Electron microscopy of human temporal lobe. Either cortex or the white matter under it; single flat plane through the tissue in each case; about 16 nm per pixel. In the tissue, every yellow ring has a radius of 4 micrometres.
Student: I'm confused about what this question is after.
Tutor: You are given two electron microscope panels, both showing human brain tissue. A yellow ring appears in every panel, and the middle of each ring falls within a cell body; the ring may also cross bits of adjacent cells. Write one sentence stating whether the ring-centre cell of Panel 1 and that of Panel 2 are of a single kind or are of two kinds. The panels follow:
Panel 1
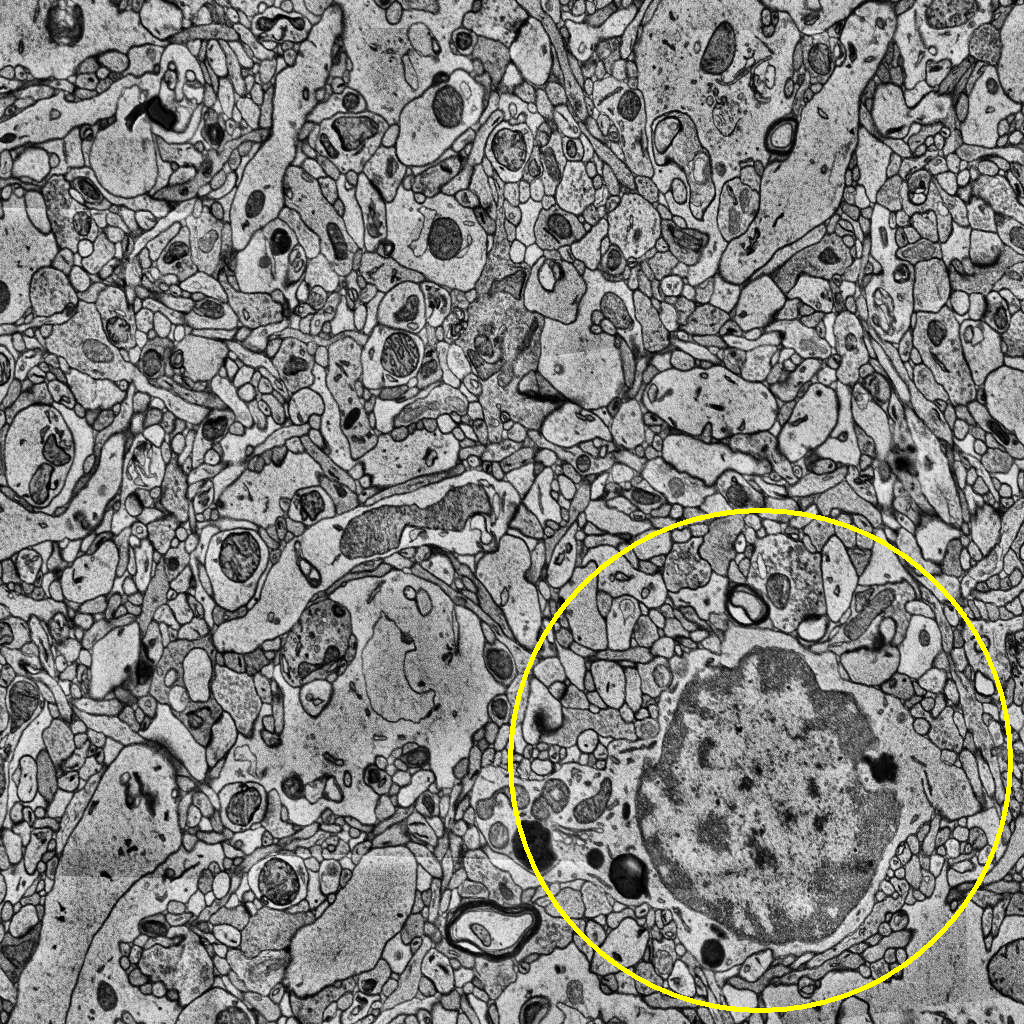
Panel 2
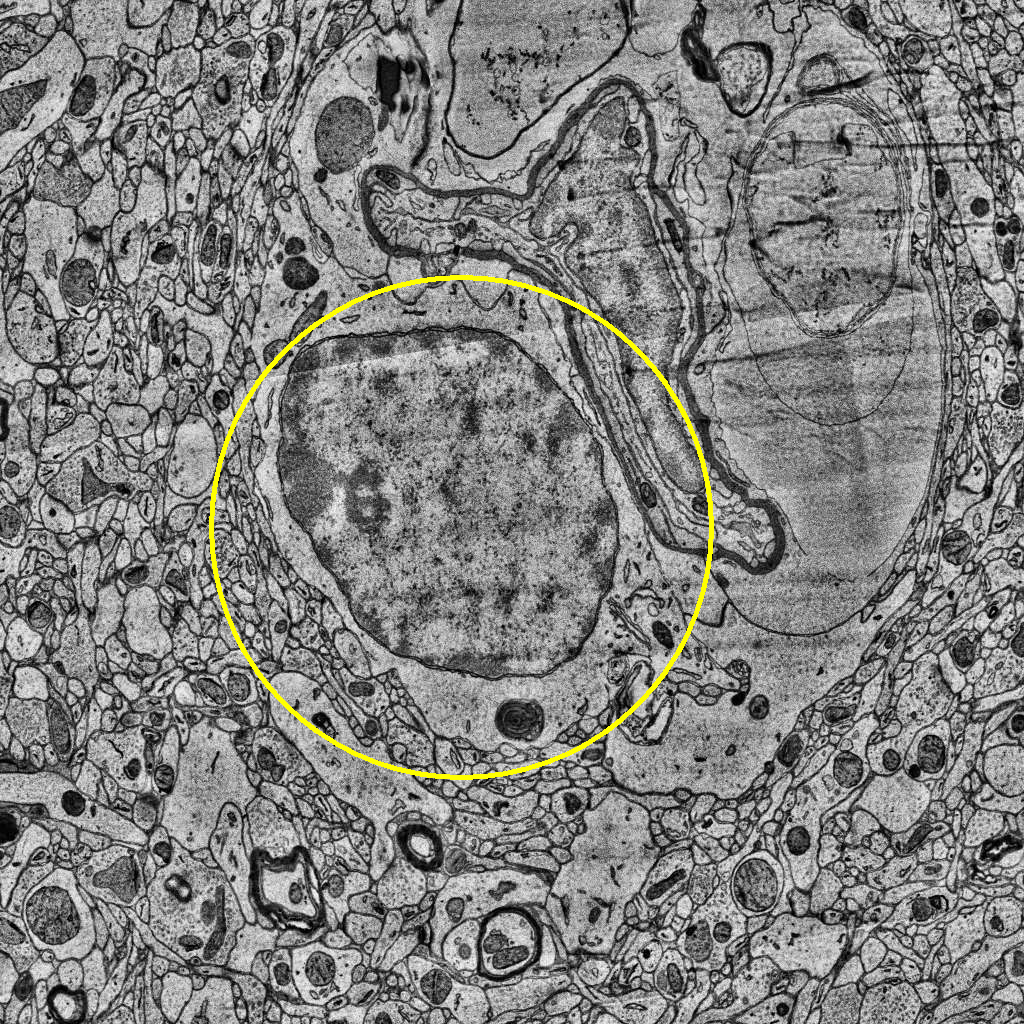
Here, the Panel 1 ring-centre cell and the Panel 2 ring-centre cell are of a single kind.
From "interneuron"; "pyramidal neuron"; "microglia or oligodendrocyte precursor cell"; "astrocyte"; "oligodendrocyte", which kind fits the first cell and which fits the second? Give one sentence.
The ring centre holds a microglial cell or oligodendrocyte precursor cell in each of the two pictures.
